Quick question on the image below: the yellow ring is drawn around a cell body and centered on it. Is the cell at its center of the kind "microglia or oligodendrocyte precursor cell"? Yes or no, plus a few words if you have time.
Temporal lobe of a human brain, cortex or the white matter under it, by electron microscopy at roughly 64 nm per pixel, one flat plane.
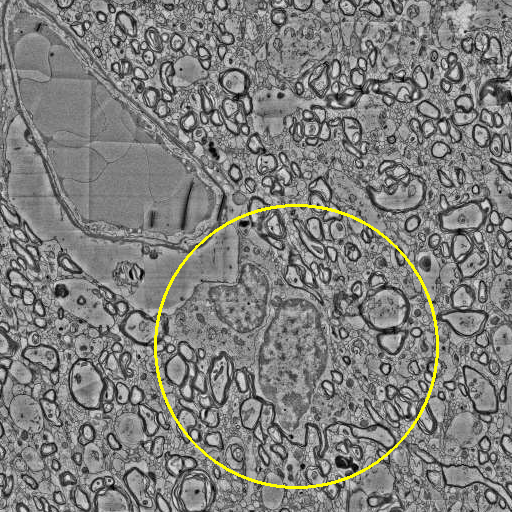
No, the cell at the center is of another kind.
